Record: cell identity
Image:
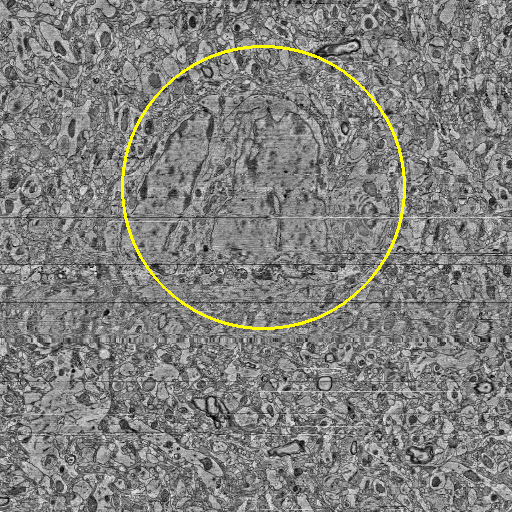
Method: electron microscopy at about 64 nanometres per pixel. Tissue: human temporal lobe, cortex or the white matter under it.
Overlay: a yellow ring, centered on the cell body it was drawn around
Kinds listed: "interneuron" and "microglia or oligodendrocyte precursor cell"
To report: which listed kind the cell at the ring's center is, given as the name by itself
interneuron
